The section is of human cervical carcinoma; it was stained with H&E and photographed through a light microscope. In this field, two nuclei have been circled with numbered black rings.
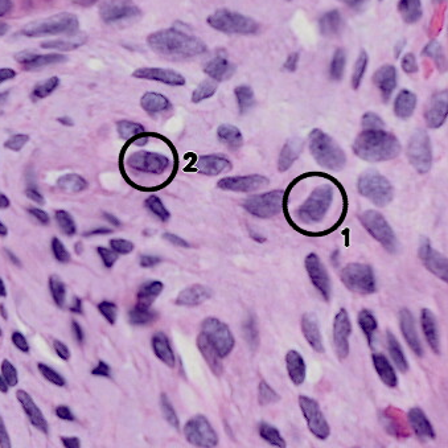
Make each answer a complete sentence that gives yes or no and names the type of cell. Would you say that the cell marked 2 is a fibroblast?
No, cell 2 represents an endothelial cell rather than a fibroblast.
